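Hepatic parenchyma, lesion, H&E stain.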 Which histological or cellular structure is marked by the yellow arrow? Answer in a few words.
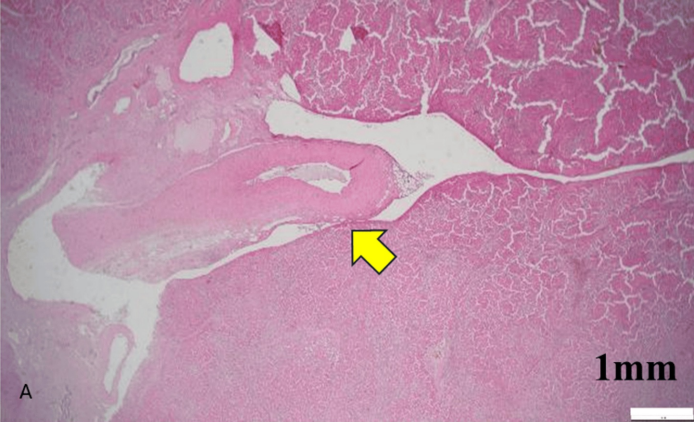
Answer: large-caliber artery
